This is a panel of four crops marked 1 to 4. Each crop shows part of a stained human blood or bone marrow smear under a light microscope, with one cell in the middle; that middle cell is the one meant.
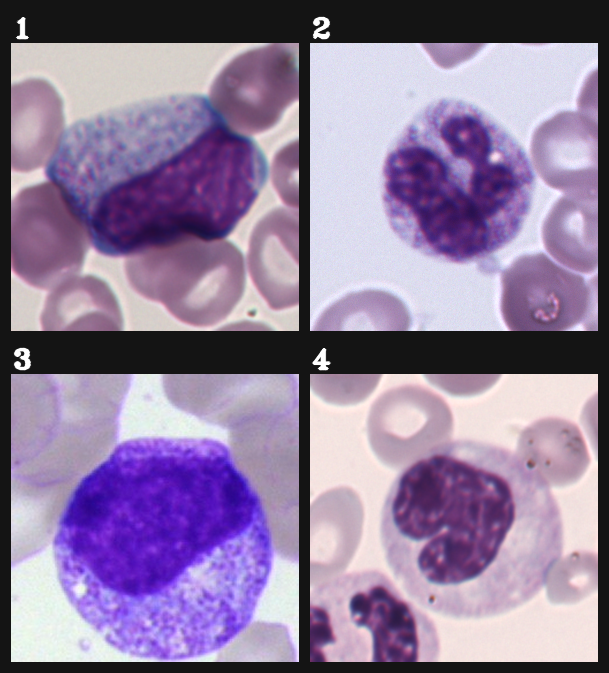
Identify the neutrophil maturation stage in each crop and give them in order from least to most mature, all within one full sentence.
The cells, arranged from least to most mature, are crop 1 (a promyelocyte), crop 3 (a myelocyte), crop 4 (a band neutrophil) and crop 2 (a segmented neutrophil).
